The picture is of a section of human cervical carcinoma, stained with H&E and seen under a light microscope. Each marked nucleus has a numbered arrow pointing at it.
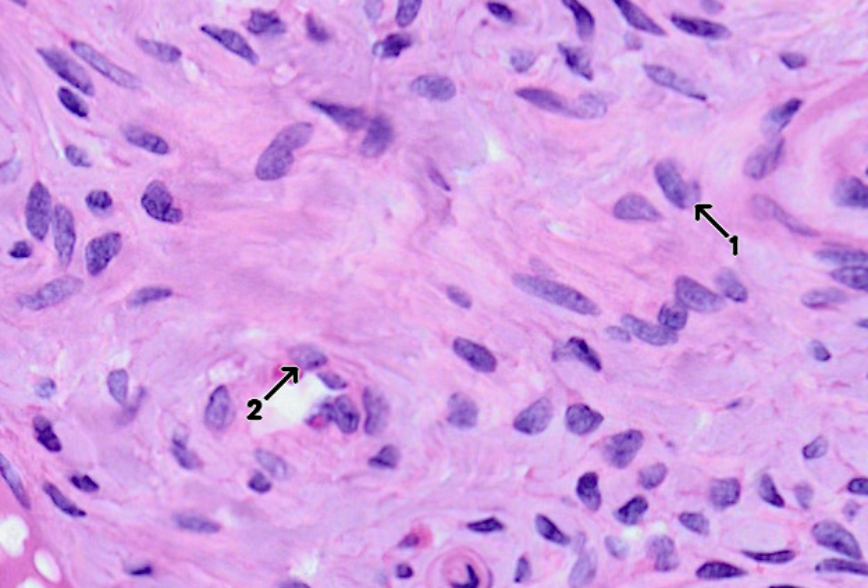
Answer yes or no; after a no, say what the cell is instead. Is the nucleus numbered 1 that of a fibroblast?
Yes.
